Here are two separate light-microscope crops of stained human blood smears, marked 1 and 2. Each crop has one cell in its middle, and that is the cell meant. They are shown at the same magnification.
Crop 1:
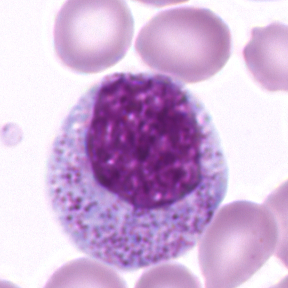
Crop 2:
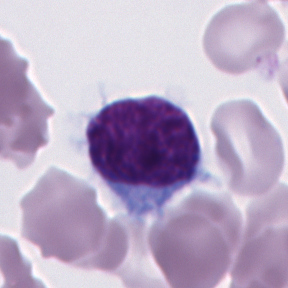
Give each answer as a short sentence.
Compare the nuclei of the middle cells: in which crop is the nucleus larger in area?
The nucleus in crop 1 is larger, with about 1.5 times the area of the one in crop 2.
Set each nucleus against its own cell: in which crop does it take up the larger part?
In crop 2 the nucleus takes up the larger part of its cell.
